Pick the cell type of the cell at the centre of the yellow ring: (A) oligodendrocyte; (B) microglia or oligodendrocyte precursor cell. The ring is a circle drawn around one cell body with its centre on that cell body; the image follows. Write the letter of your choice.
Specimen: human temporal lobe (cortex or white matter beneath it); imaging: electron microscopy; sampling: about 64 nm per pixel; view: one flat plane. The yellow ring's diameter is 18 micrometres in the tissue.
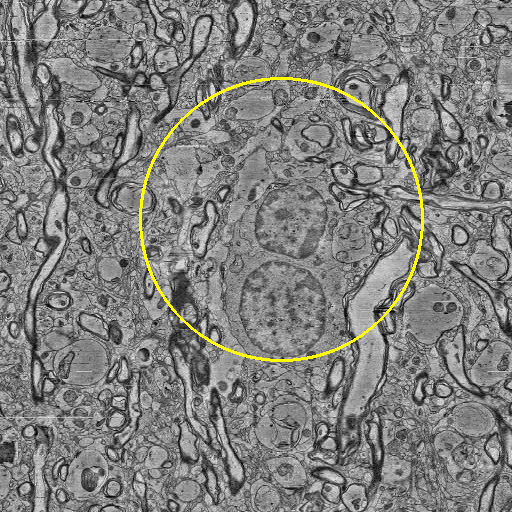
A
